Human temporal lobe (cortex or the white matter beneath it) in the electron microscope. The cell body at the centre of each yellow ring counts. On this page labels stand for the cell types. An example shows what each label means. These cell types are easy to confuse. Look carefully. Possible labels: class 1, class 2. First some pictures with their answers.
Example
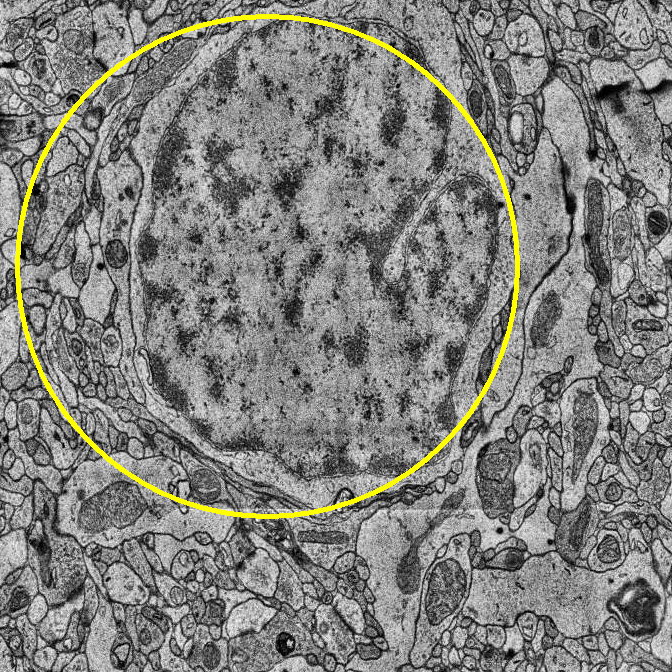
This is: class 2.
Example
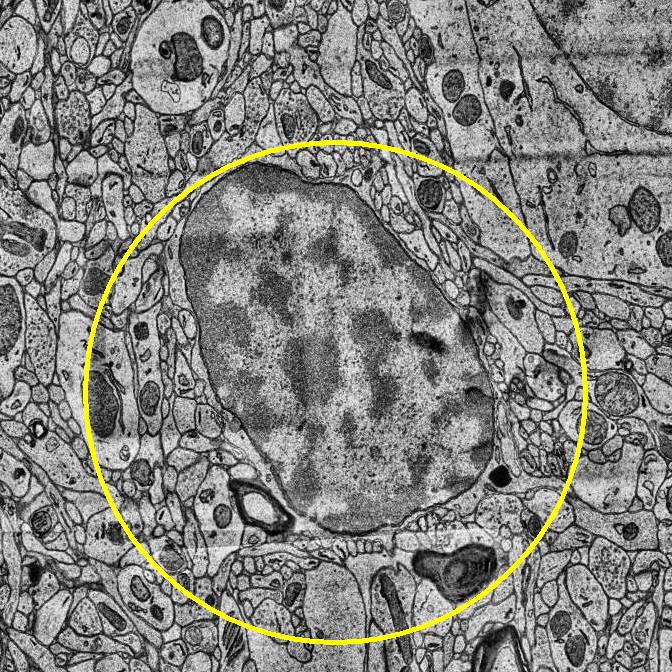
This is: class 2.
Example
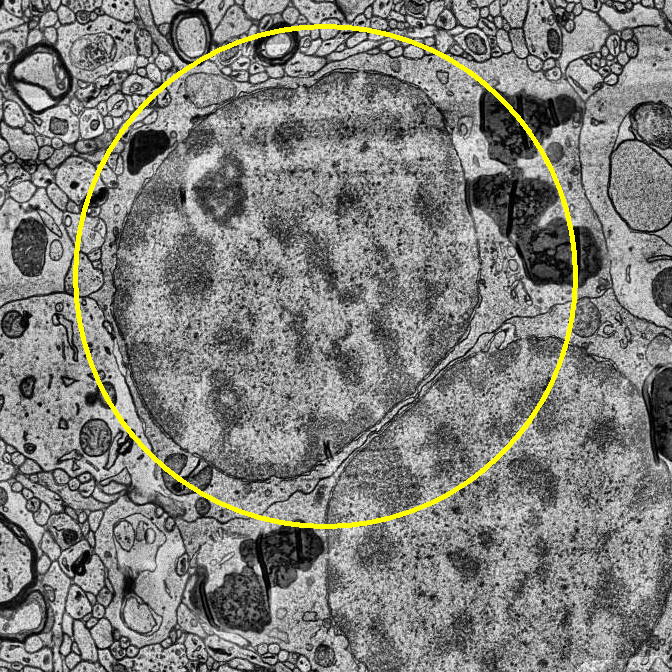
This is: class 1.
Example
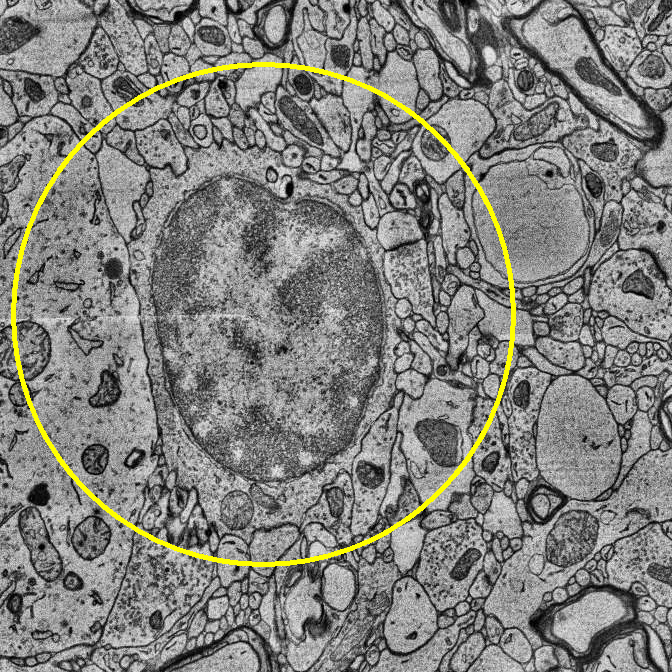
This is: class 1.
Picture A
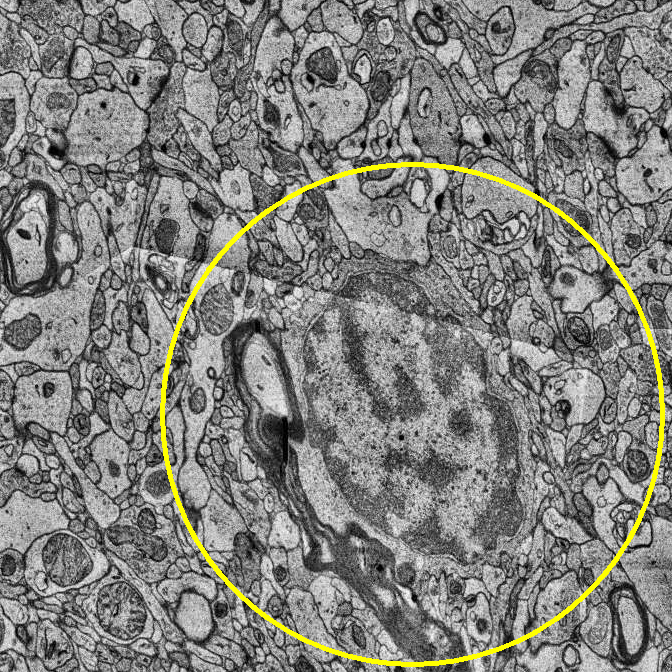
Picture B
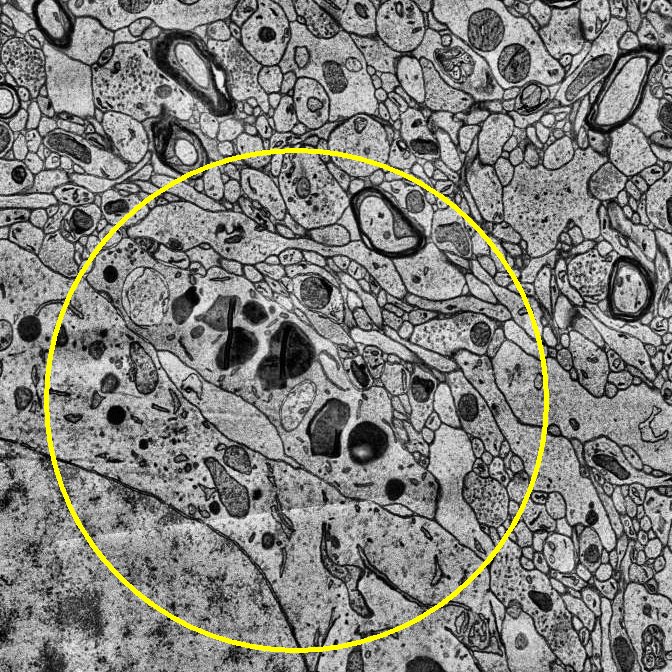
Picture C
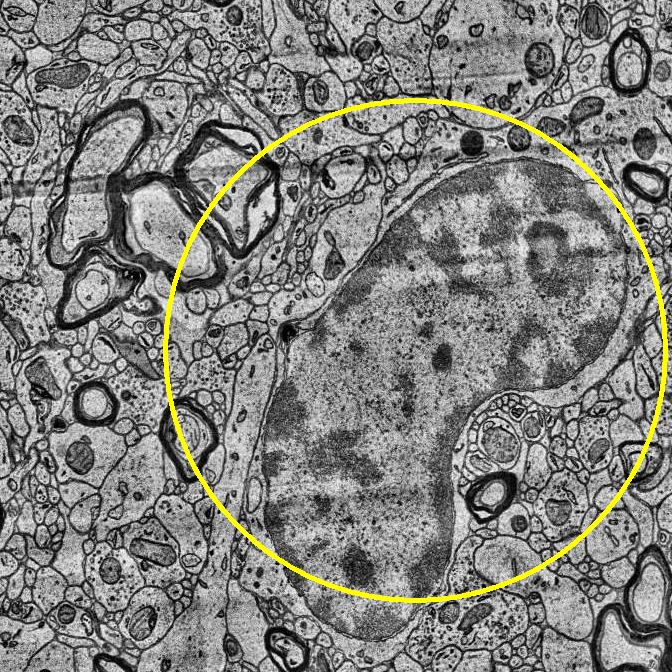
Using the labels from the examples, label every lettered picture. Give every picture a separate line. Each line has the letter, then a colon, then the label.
A: class 1.
B: class 2.
C: class 2.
